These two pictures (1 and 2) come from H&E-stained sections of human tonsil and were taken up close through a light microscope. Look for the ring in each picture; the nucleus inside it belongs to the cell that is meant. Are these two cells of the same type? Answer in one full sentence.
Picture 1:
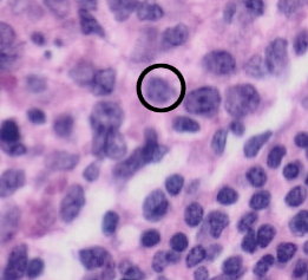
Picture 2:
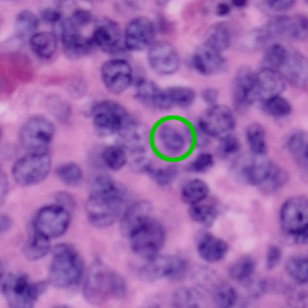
Yes; the cells in both pictures are proliferating B cells.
